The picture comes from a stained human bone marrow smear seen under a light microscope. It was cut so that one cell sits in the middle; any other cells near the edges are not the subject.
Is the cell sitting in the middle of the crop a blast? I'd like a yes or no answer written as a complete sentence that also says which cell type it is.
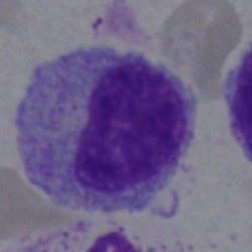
No, the central cell is not a blast; it is a myelocyte.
